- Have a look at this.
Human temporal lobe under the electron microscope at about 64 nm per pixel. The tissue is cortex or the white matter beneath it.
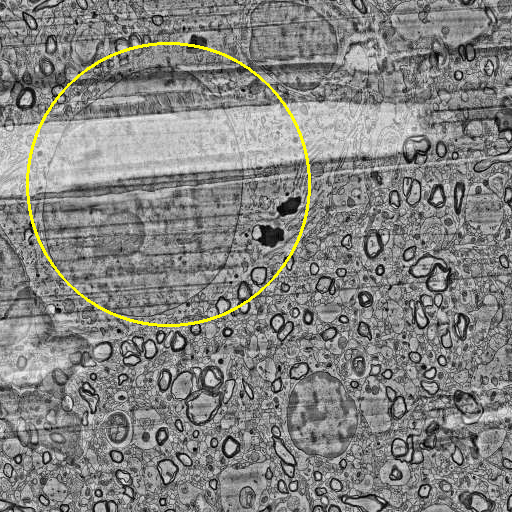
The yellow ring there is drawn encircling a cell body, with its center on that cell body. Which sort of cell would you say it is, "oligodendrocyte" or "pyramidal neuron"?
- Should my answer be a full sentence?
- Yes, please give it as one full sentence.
For this picture, a pyramidal neuron is the cell where the yellow ring has its center.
